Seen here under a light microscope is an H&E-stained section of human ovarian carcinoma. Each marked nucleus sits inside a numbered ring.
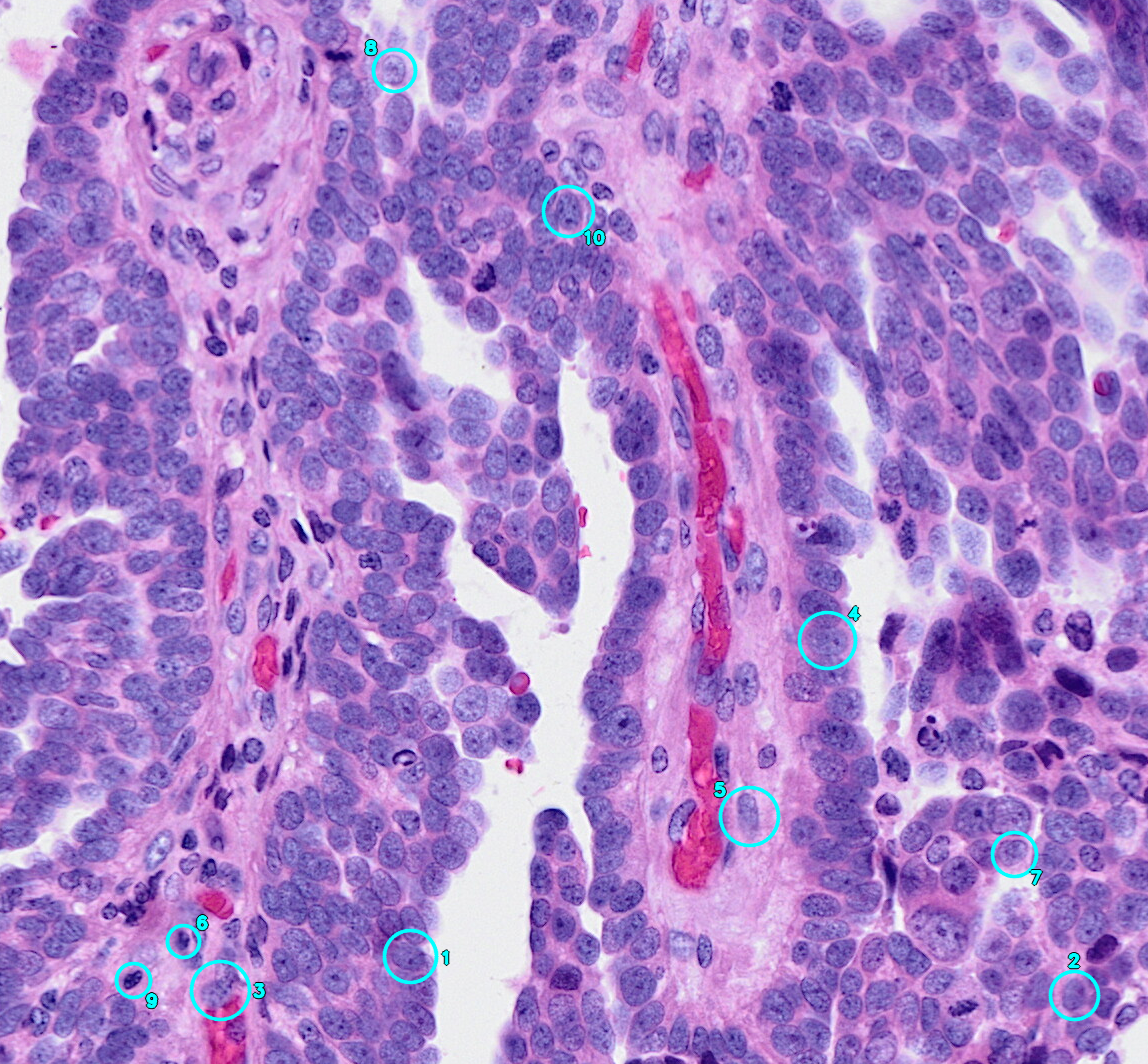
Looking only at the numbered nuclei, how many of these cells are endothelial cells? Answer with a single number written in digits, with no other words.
1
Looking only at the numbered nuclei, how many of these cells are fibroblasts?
1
